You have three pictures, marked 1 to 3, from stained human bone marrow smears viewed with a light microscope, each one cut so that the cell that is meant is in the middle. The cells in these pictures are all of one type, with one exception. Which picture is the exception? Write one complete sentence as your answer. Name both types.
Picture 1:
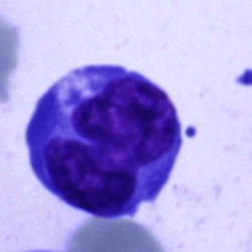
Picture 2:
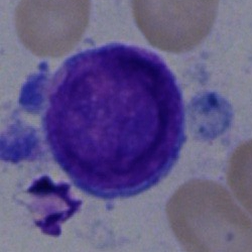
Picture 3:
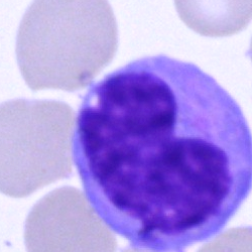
Picture 3 is the odd one out: it shows a monocyte, while the others show blasts.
